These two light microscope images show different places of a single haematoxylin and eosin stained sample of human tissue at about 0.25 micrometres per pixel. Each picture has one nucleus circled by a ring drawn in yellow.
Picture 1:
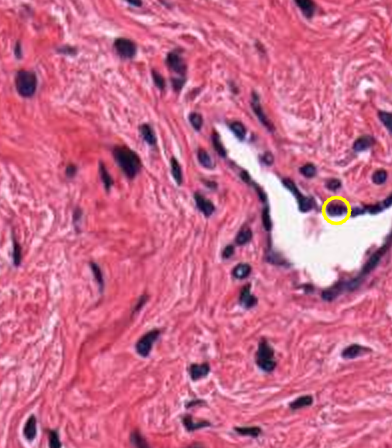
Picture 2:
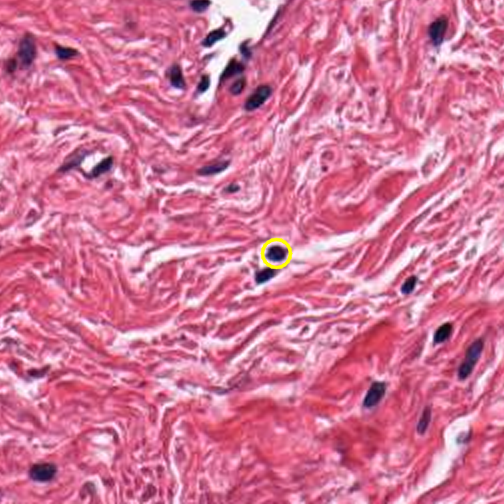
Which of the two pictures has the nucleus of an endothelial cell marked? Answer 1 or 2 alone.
1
